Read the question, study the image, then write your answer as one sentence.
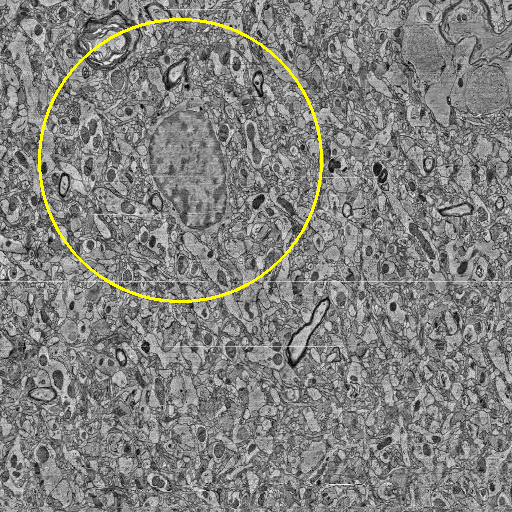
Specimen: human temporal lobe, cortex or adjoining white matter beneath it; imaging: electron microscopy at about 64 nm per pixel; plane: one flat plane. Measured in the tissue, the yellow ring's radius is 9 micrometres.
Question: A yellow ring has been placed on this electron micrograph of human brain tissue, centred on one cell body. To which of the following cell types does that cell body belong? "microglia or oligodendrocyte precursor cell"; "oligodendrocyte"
That cell body belongs to an oligodendrocyte.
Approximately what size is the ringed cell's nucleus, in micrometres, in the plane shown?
Clearly longer than it is wide in this plane, the nucleus measures roughly 8 by 5 micrometres.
